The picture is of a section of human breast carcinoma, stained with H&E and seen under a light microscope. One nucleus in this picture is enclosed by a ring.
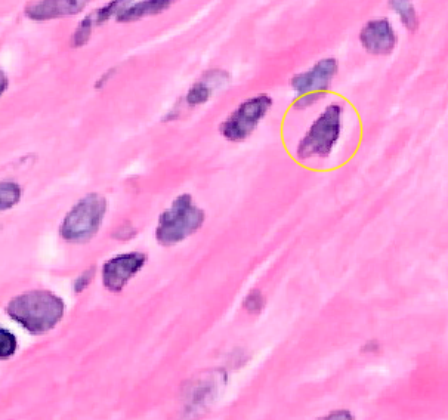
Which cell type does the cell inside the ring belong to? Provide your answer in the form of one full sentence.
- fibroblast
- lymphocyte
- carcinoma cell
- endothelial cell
It is as a lymphocyte that the cell inside the ring is classified.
